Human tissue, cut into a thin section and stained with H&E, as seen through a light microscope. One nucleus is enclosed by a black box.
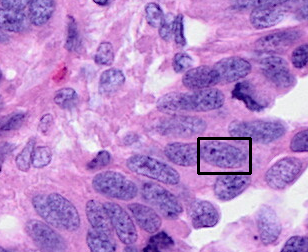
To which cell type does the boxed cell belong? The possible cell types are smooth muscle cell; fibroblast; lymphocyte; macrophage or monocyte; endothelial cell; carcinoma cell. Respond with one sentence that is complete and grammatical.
The cell type represented by the boxed cell is that of a carcinoma cell.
